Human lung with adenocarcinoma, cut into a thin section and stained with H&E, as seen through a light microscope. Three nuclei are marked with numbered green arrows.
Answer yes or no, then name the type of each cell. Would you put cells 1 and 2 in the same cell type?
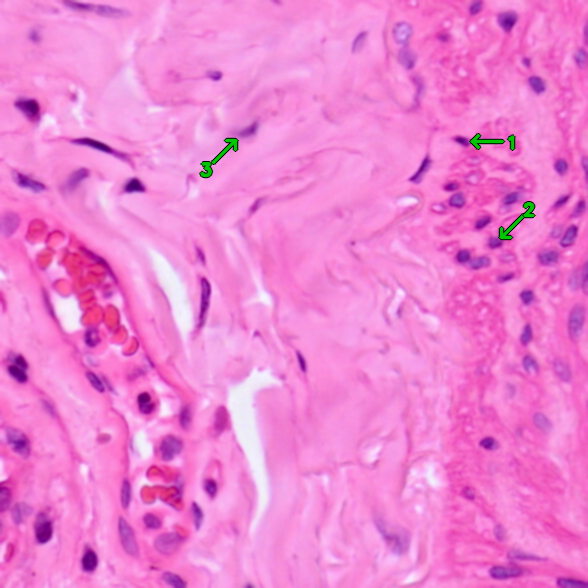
Yes, both of cells 1 and 2 are smooth muscle cells or pericytes.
